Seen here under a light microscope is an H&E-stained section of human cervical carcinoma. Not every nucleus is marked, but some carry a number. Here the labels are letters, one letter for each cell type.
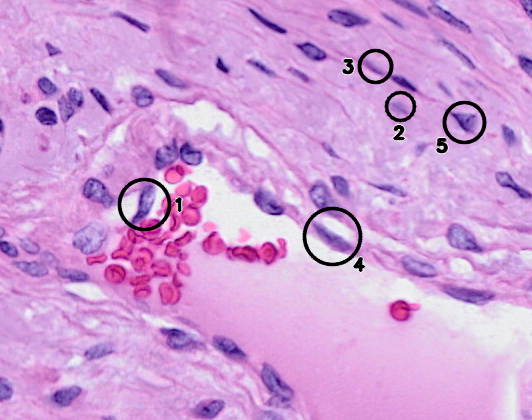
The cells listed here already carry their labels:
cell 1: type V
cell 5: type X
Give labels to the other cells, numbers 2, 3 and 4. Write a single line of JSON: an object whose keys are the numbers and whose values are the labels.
{"2": "type X", "3": "type X", "4": "type V"}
